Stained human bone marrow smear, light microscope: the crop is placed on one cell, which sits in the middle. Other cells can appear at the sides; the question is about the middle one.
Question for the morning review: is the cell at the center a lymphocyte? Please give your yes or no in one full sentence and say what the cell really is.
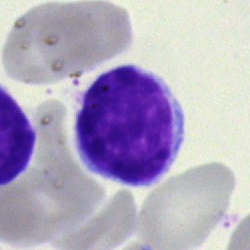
Yes, the middle cell in this crop is a lymphocyte.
